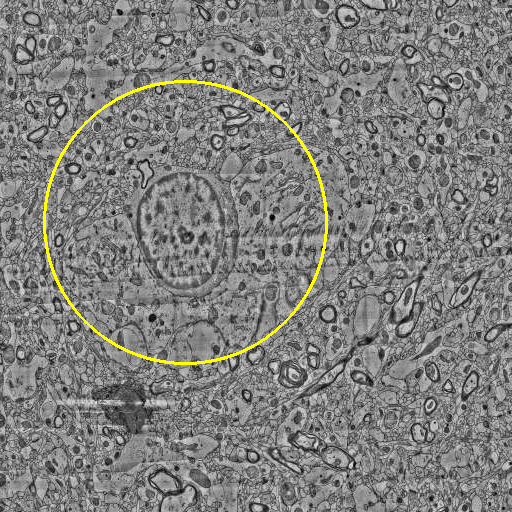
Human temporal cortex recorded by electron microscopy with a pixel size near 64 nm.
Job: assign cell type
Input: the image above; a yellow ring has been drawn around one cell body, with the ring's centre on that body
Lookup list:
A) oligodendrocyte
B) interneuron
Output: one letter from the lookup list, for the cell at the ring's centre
A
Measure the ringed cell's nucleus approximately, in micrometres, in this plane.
In this plane, the nucleus is roughly 7 by 6 micrometres.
